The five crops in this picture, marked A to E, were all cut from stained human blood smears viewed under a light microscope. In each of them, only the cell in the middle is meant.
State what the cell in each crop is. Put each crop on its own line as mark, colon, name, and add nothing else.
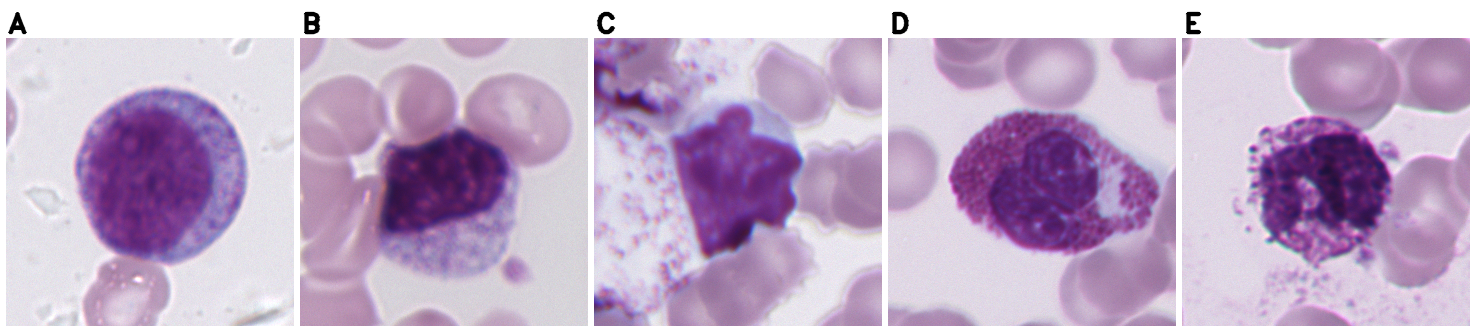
A: promyelocyte
B: metamyelocyte
C: large granular lymphocyte
D: eosinophil
E: basophil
